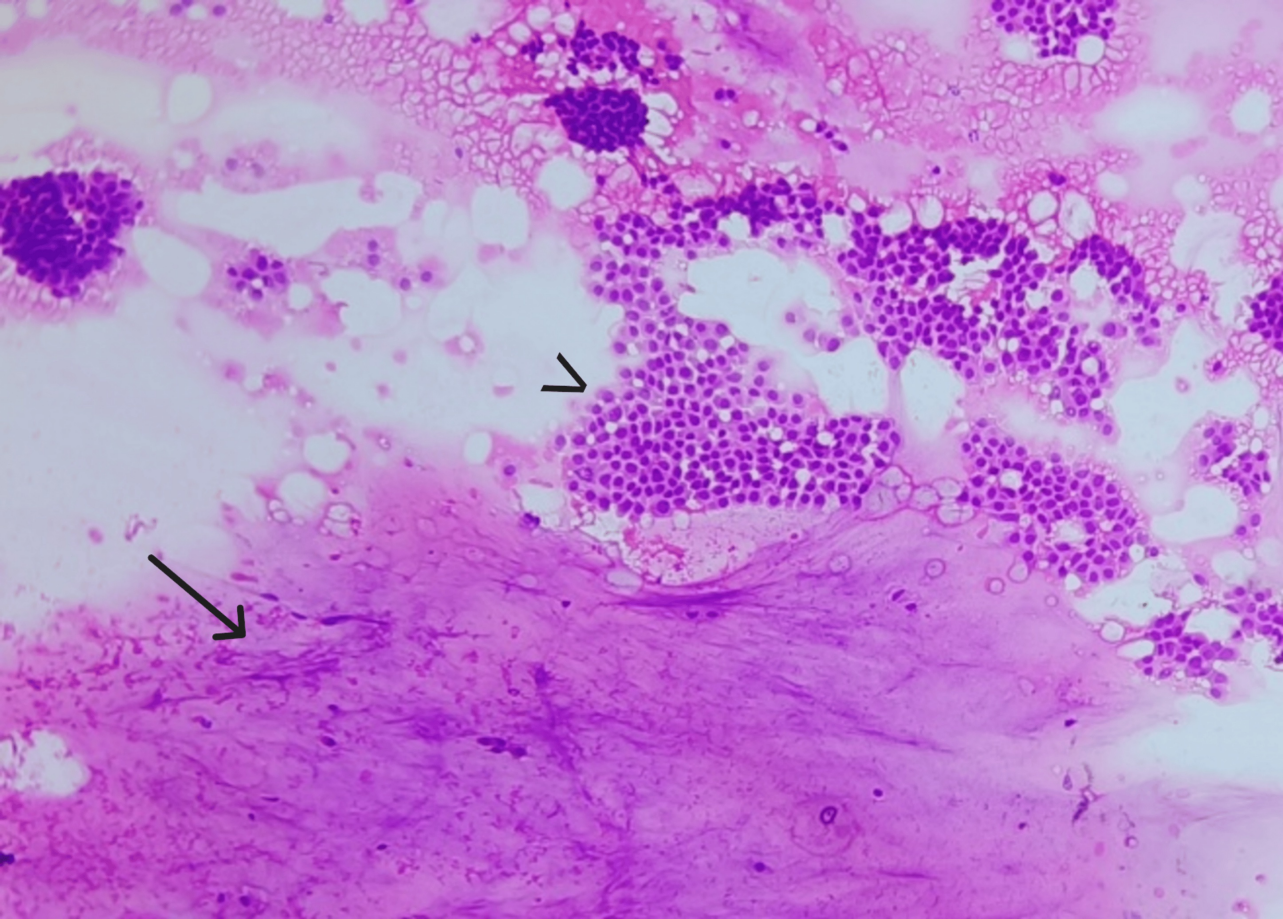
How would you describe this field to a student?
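This smear shows cohesive clusters and sheets of epithelial cells lying beside abundant extracellular mucin. The epithelial cells are small and fairly uniform, with round dark purple nuclei and scant cytoplasm, packed closely together in groups across the upper part of the field. Below them, the mucin forms a broad pale violet, streaky background with fine strands and hardly any cells.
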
